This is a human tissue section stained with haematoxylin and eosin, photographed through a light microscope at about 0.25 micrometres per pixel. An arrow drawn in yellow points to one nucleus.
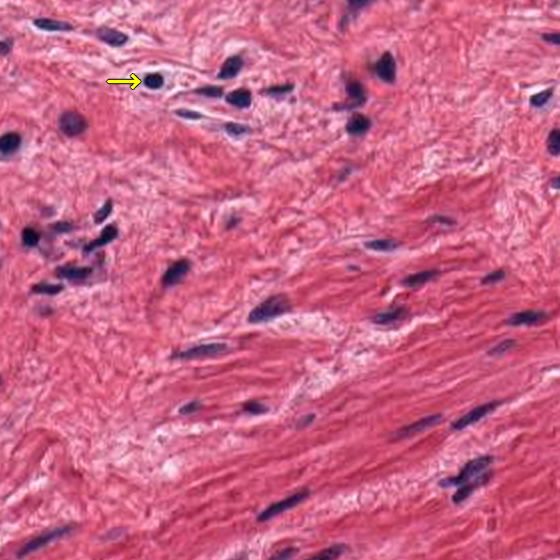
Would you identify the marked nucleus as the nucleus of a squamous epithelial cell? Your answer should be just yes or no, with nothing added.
no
